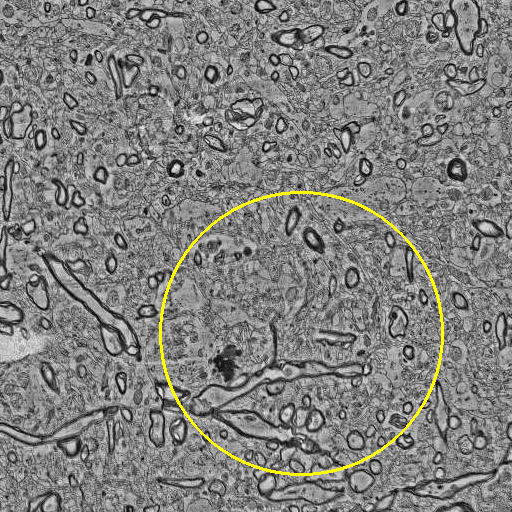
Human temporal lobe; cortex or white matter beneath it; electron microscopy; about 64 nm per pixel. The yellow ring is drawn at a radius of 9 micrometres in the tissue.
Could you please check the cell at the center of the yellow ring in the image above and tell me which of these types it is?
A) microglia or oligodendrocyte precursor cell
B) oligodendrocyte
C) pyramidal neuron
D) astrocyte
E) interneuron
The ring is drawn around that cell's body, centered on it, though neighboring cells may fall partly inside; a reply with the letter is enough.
B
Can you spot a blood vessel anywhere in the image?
No, the picture includes no blood vessel.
